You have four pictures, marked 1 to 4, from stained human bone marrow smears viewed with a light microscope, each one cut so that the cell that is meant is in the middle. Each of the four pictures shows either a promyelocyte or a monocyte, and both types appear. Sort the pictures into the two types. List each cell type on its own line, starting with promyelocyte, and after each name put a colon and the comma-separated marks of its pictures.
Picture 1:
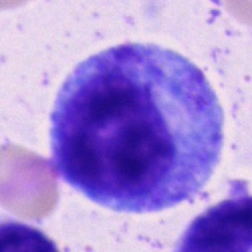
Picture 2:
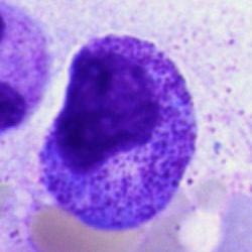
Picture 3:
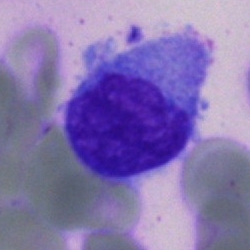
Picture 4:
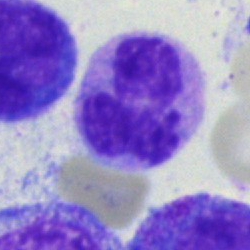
promyelocyte: 1, 2
monocyte: 3, 4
